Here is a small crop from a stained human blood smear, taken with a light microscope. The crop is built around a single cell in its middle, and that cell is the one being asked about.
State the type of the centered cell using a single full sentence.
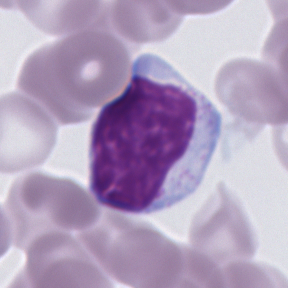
The cell at the central position in this crop is a large granular lymphocyte.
